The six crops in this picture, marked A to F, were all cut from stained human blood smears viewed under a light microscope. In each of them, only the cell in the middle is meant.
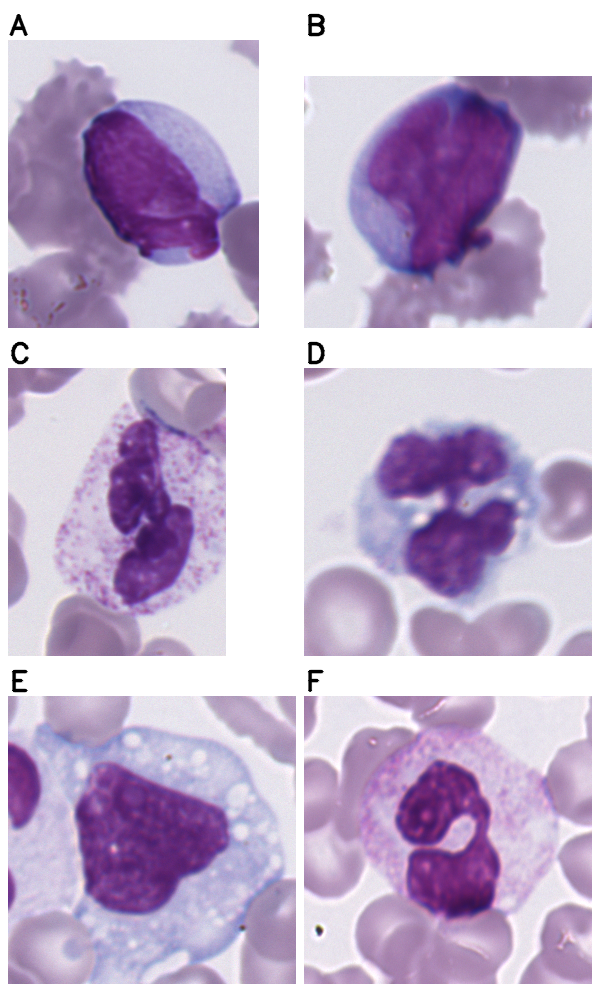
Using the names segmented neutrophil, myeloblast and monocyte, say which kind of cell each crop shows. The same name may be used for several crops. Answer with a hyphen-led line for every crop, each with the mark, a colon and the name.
- A: myeloblast
- B: myeloblast
- C: segmented neutrophil
- D: monocyte
- E: monocyte
- F: segmented neutrophil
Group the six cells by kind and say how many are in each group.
myeloblast: 2
segmented neutrophil: 2
monocyte: 2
